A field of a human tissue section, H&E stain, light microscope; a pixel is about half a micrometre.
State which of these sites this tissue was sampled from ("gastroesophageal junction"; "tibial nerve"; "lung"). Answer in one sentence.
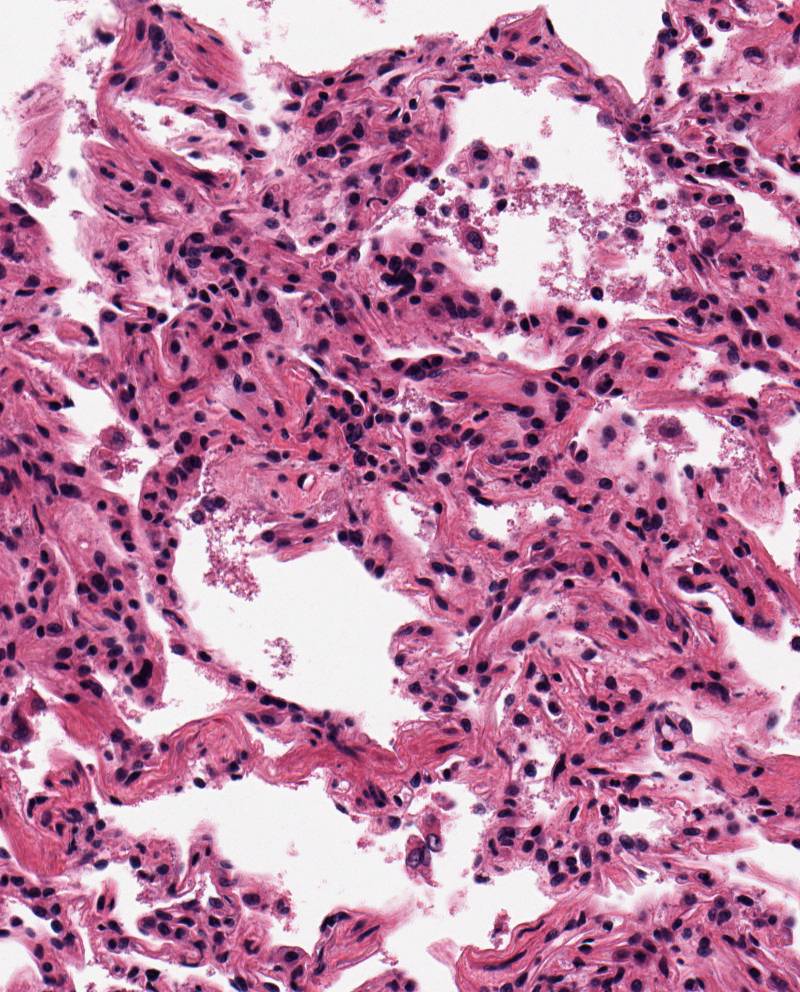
The site this tissue was sampled from is the lung.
